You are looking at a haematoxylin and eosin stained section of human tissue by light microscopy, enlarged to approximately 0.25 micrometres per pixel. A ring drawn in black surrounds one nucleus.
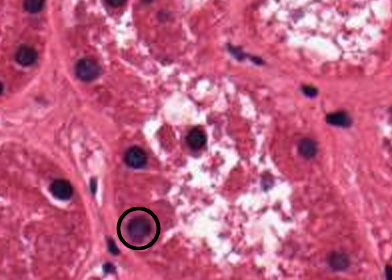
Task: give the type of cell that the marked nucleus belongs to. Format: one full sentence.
What the marked nucleus belongs to is a proximal tubule cell.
